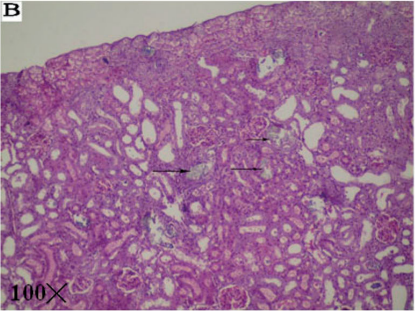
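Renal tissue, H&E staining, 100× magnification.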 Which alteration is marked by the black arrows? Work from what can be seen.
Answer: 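Crystal deposition. Grey-blue material lies within some tubular lumina. Many tubules are dilated.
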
